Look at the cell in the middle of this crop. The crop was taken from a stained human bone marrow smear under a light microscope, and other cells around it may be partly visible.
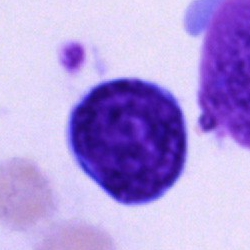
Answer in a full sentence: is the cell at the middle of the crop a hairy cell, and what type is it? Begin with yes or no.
No, the cell under consideration is a blast instead of a hairy cell.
